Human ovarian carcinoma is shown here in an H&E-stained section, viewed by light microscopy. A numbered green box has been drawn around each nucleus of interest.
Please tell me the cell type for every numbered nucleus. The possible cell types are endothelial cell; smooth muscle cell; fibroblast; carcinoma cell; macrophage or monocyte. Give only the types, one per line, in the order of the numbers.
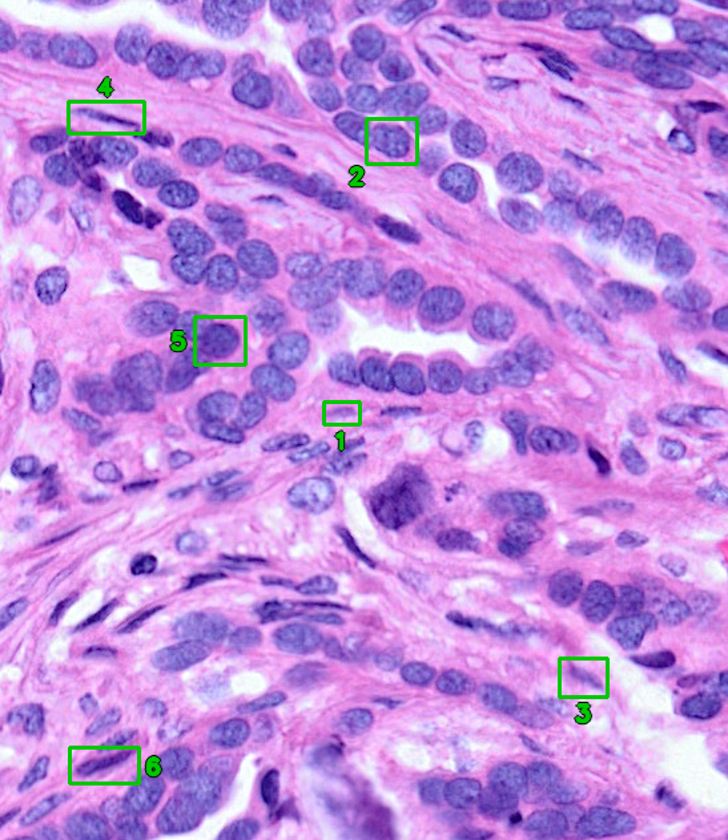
fibroblast
carcinoma cell
fibroblast
fibroblast
carcinoma cell
fibroblast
